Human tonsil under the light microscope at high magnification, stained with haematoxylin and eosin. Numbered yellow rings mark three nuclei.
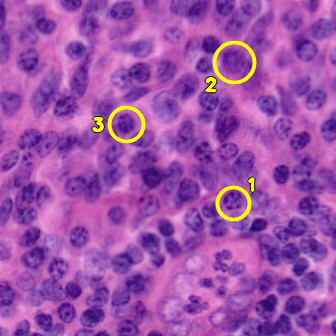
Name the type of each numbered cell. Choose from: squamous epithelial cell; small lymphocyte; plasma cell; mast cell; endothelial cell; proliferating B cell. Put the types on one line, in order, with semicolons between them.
plasma cell; squamous epithelial cell; plasma cell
